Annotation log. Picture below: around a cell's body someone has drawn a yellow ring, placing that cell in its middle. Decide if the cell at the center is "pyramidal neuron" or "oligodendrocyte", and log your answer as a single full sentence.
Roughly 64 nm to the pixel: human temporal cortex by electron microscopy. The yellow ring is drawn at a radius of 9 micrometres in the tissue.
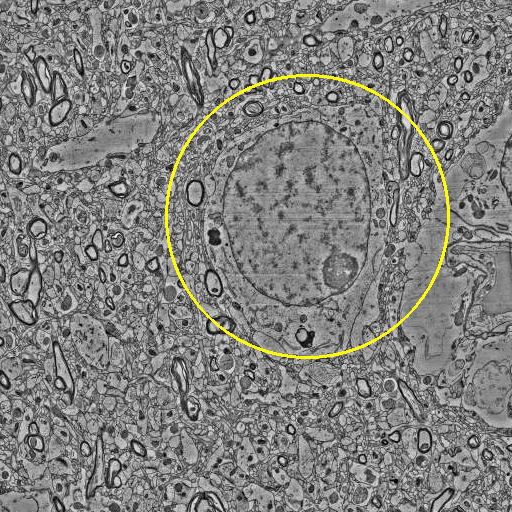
My entry records a pyramidal neuron as the cell sitting at the center of the yellow ring.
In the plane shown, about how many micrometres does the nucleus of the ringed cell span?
The ringed cell's nucleus measures approximately 12 by 10 micrometres in this plane.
